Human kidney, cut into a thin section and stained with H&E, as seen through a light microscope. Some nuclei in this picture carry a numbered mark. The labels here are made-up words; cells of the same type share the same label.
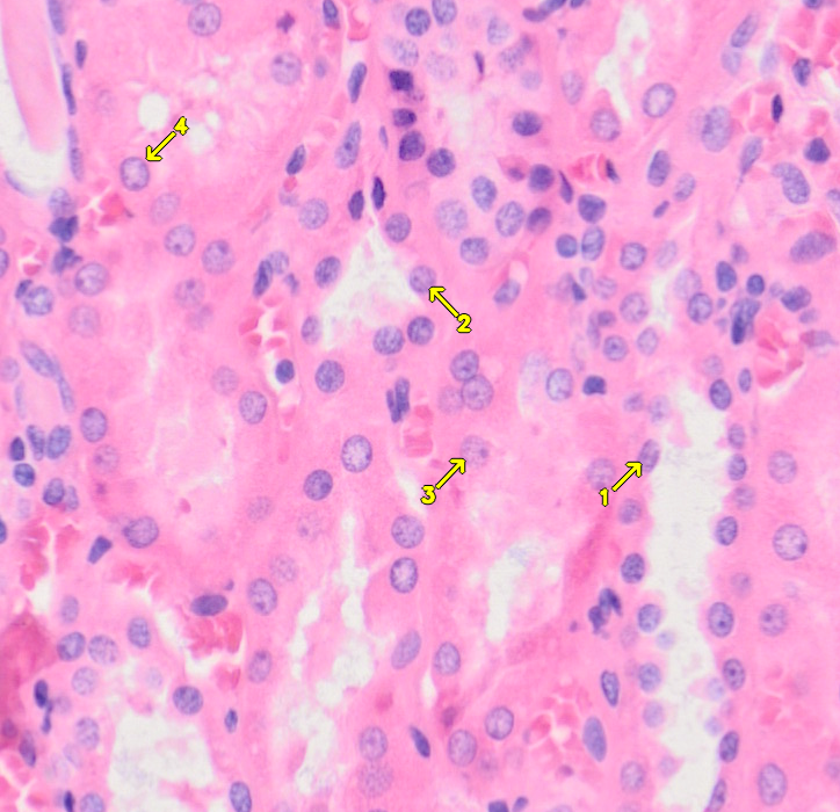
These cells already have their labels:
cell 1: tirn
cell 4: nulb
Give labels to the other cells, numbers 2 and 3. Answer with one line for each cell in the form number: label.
2: tirn
3: nulb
